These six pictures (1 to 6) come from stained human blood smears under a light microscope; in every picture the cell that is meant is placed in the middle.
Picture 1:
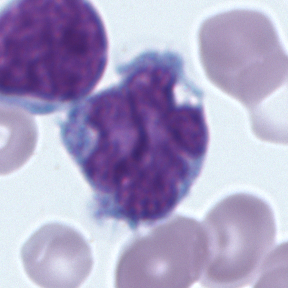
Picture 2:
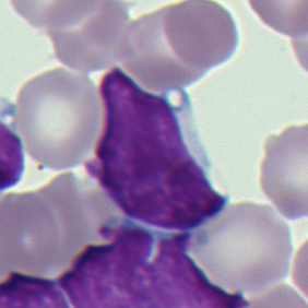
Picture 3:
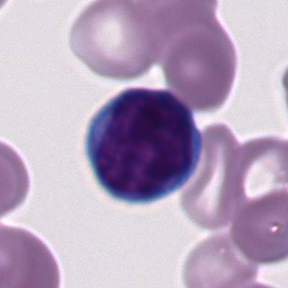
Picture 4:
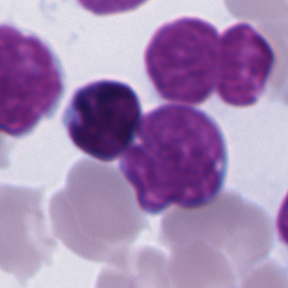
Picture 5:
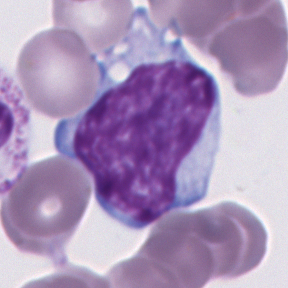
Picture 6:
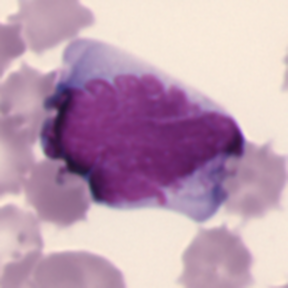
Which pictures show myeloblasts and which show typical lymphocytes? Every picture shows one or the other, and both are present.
1: myeloblast
2: typical lymphocyte
3: typical lymphocyte
4: myeloblast
5: myeloblast
6: myeloblast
